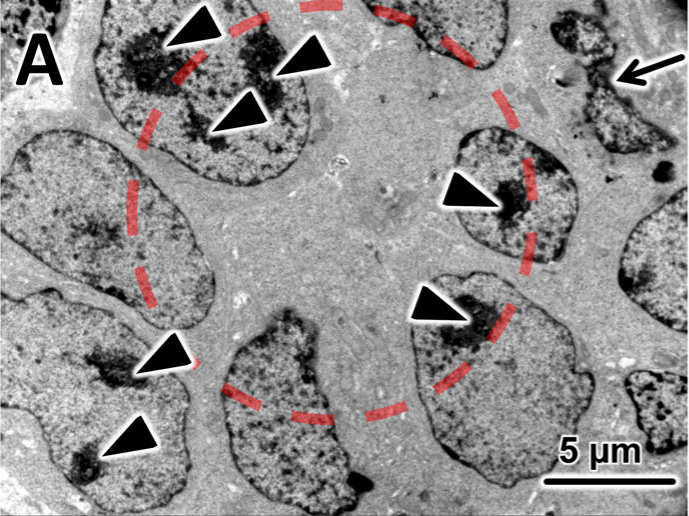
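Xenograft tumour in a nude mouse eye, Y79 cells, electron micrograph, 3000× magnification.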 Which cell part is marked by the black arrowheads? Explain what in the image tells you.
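Arrowheads point to dense dark clumps inside the nuclei. Some nuclei hold more than one such dark clump. So: multiple nucleoli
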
